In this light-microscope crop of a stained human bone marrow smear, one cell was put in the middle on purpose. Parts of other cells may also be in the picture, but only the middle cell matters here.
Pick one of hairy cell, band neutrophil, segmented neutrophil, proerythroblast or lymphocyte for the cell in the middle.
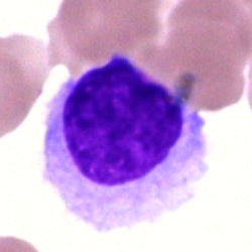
hairy cell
